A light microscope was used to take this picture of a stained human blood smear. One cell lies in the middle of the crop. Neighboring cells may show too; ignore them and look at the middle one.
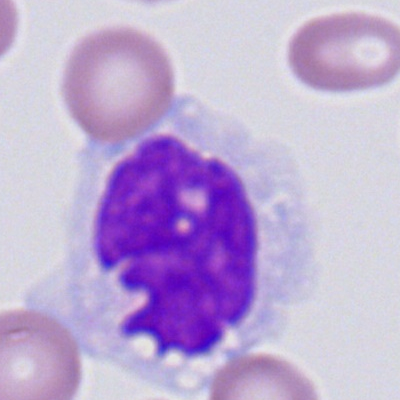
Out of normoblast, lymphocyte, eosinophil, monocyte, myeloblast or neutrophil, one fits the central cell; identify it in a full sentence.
What sits at the centre of this crop is a monocyte.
